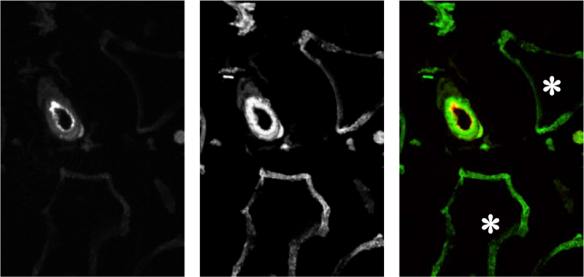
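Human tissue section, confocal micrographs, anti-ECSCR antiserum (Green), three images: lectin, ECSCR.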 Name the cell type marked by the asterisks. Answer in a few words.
Adipocyte.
